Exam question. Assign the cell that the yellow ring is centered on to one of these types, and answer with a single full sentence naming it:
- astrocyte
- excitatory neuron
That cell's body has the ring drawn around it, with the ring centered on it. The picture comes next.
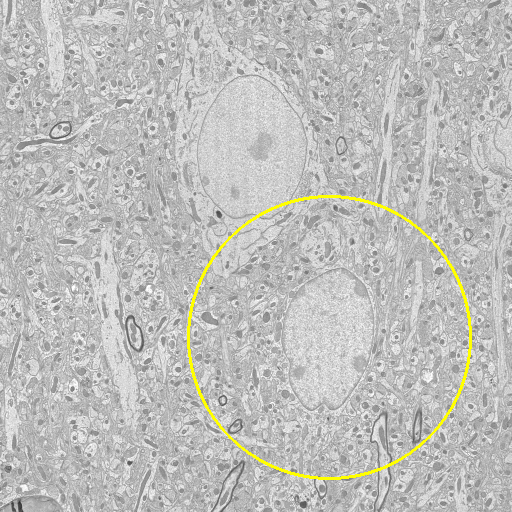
In the micrograph, the cell the yellow ring is centered on is an astrocyte.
